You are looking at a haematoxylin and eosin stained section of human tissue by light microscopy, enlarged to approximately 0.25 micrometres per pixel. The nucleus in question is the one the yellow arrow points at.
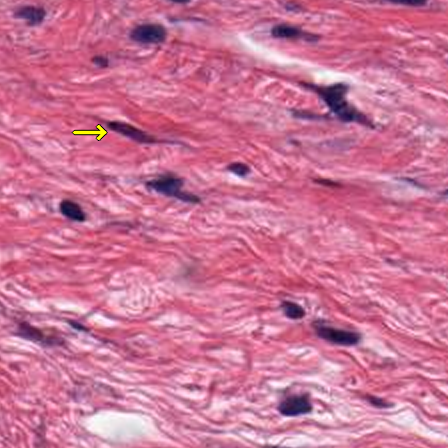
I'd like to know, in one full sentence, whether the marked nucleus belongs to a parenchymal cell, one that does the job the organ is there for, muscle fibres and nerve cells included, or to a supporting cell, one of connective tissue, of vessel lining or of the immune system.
Here the marked nucleus is the nucleus of a supporting cell.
